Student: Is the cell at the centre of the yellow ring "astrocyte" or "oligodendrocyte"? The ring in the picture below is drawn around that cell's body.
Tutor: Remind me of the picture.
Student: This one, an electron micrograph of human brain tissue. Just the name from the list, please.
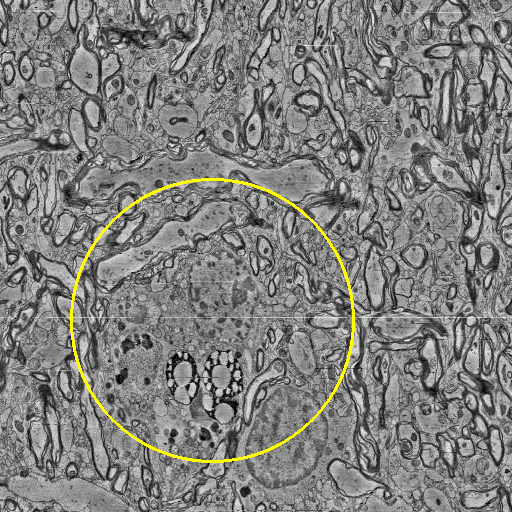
astrocyte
